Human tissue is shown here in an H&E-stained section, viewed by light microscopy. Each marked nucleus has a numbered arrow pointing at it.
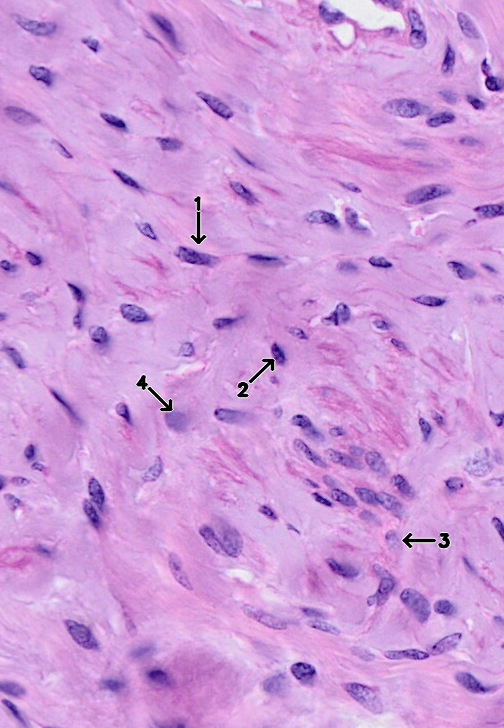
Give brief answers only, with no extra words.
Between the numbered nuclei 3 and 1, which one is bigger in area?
1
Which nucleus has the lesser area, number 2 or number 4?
2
